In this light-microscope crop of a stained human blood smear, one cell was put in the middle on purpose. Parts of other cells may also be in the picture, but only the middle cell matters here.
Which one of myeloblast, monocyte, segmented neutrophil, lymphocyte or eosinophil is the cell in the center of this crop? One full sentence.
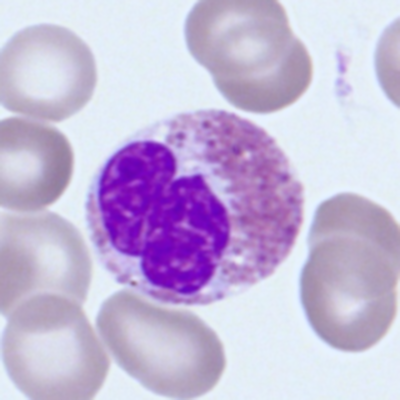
The cell at the middle of the frame should be recorded as an eosinophil.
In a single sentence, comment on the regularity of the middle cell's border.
No projections interrupt the outline; it is smooth all the way round.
